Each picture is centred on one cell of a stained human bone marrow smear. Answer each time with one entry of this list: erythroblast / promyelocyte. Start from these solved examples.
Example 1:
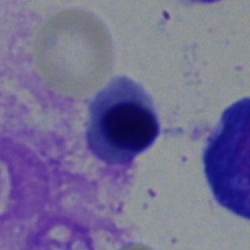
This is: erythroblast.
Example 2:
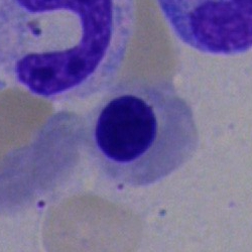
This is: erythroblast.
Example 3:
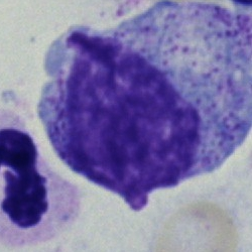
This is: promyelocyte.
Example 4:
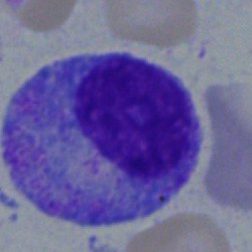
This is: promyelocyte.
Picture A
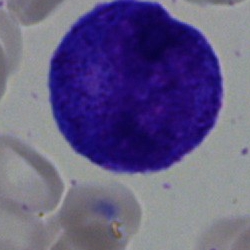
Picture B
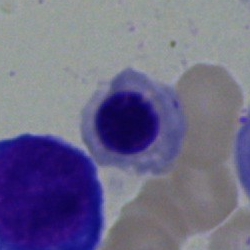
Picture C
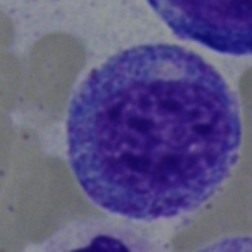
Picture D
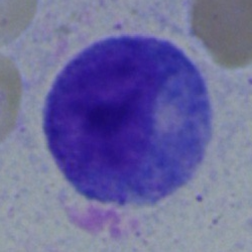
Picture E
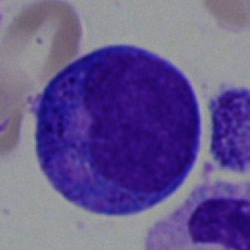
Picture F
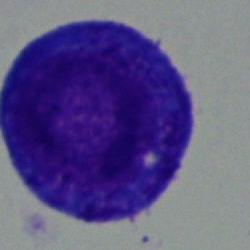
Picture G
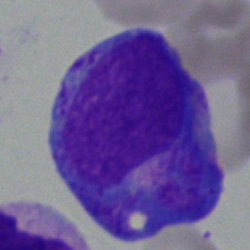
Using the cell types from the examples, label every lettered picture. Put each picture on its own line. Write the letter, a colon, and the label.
A: promyelocyte.
B: erythroblast.
C: promyelocyte.
D: promyelocyte.
E: promyelocyte.
F: promyelocyte.
G: promyelocyte.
